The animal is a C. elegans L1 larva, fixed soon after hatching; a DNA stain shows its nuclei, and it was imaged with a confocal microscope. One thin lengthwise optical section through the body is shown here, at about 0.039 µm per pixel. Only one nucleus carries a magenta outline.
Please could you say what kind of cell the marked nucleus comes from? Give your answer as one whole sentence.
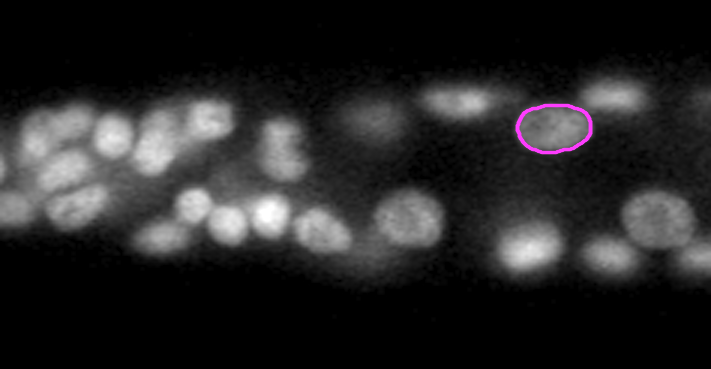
This nucleus is from an intestinal cell.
